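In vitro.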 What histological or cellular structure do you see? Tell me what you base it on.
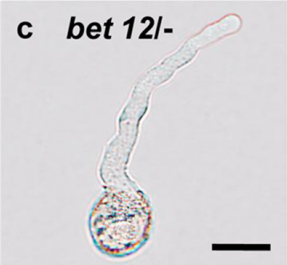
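A round grain with granular contents at the bottom. A single tube emerges from the grain and extends upward. So: pollen tubes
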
